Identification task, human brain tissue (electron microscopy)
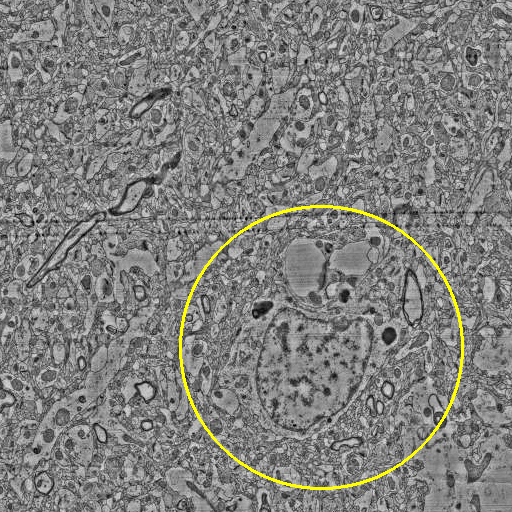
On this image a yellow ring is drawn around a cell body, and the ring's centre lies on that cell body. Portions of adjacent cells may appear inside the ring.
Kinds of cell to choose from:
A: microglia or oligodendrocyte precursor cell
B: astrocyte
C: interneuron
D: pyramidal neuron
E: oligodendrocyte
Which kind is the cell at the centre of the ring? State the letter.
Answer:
B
